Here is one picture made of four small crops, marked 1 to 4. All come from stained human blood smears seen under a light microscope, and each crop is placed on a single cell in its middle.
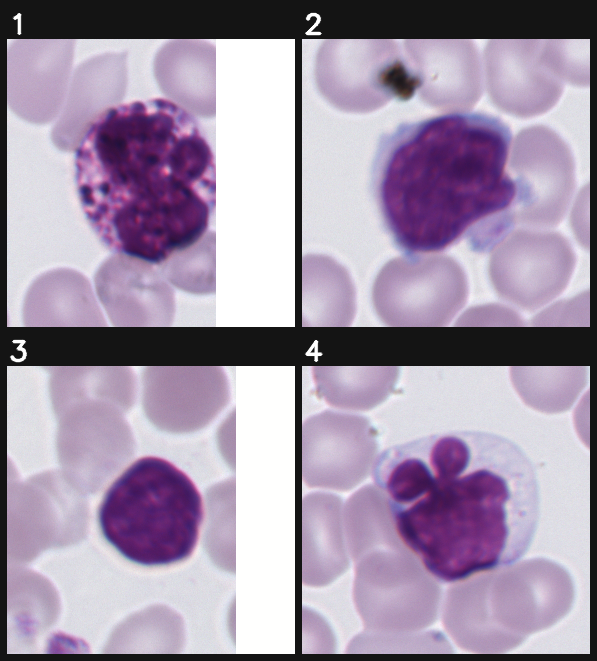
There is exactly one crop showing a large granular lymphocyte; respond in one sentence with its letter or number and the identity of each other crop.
There is a large granular lymphocyte in crop 4, while crop 1 is a basophil, crop 2 is a typical lymphocyte and crop 3 is a smudge cell.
